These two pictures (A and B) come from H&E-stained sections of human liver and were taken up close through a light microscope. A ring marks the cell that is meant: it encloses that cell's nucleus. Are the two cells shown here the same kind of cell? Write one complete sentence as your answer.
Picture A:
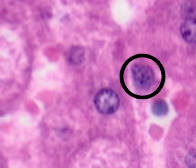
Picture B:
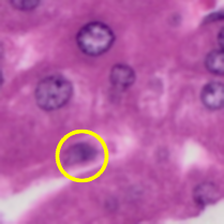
Yes, the two pictures both show Kupffer cells.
